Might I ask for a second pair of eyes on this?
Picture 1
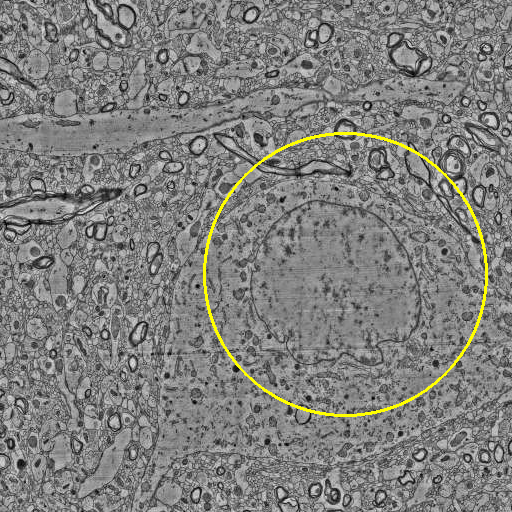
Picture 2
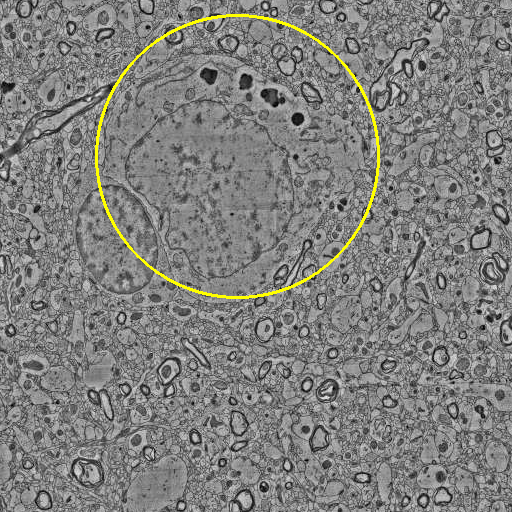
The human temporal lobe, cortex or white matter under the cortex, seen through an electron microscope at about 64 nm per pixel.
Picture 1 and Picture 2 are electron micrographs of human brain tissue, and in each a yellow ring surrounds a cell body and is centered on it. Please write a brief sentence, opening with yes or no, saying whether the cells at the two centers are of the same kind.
Yes, the cells are of the same kind.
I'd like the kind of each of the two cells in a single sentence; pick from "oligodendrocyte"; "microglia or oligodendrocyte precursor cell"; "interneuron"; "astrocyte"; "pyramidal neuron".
Both the first and the second picture show a pyramidal neuron in the ring.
